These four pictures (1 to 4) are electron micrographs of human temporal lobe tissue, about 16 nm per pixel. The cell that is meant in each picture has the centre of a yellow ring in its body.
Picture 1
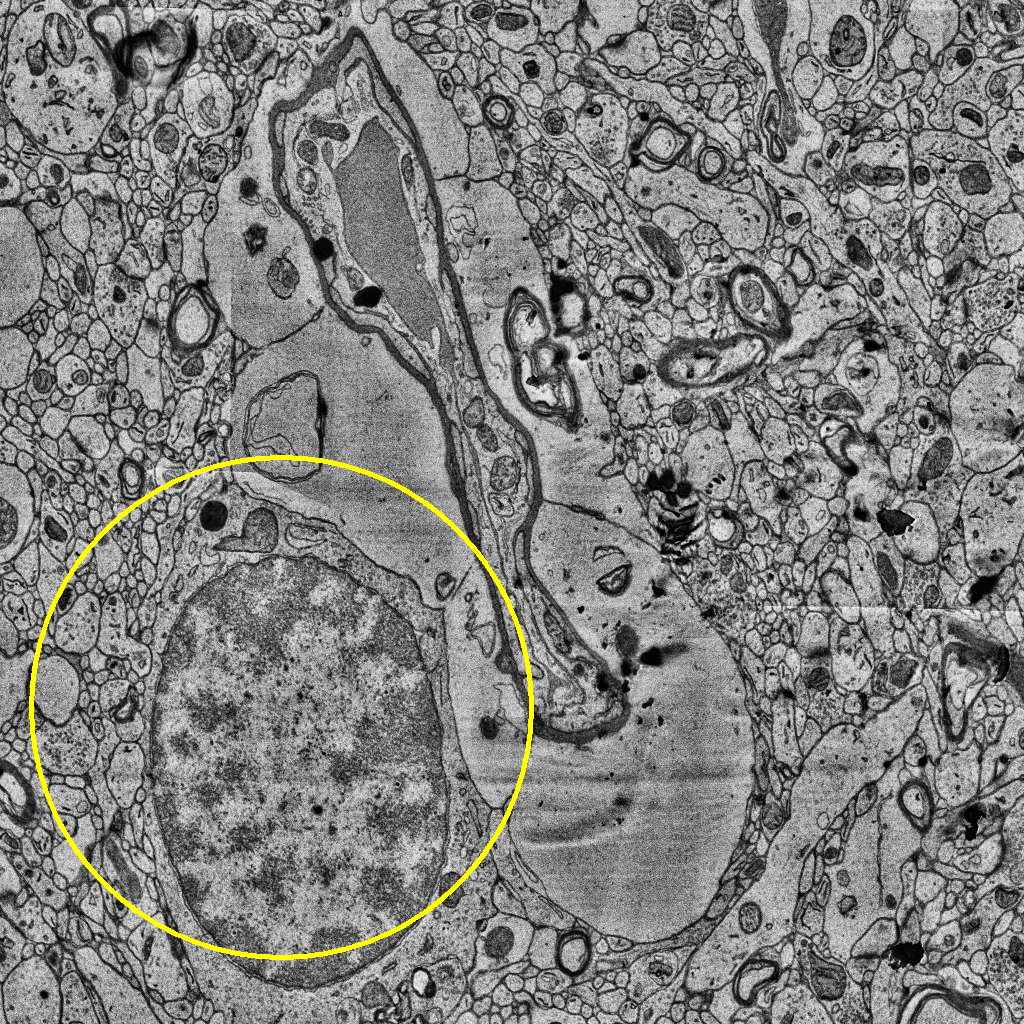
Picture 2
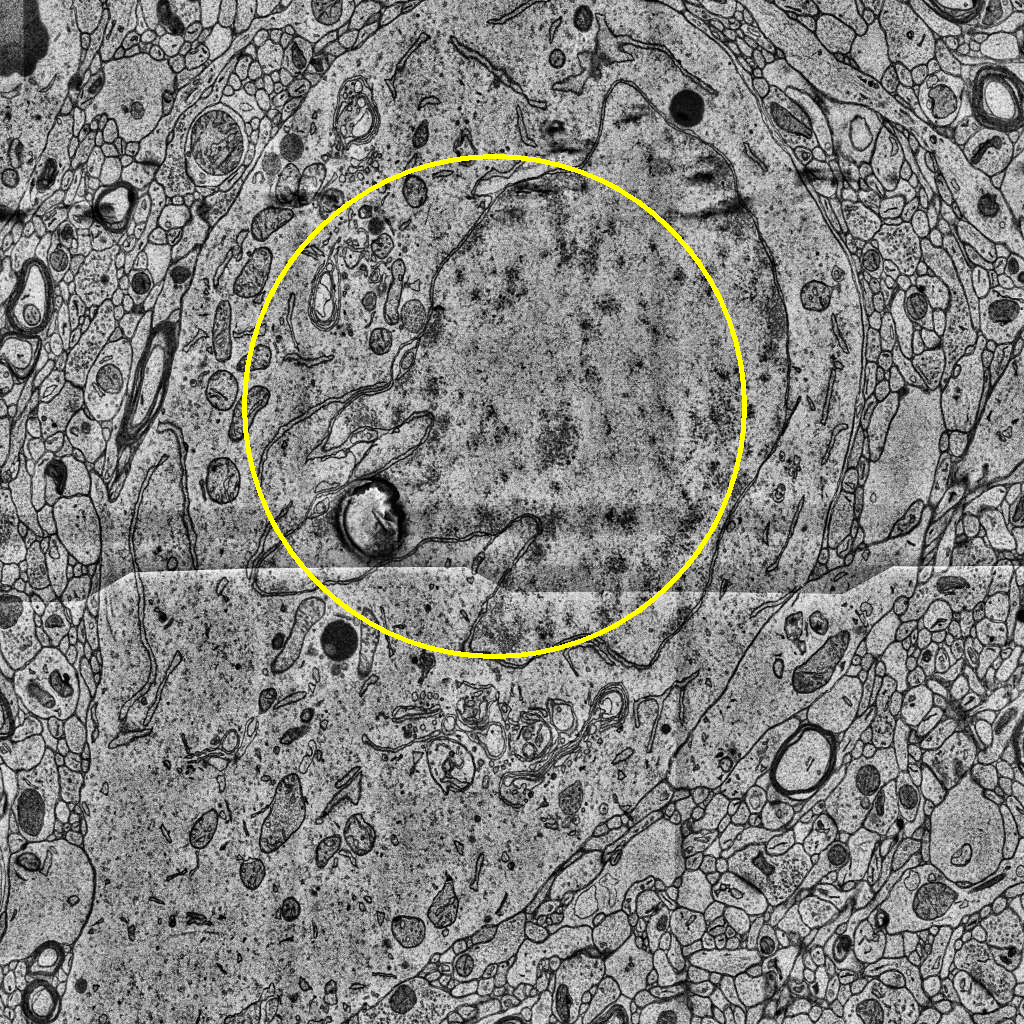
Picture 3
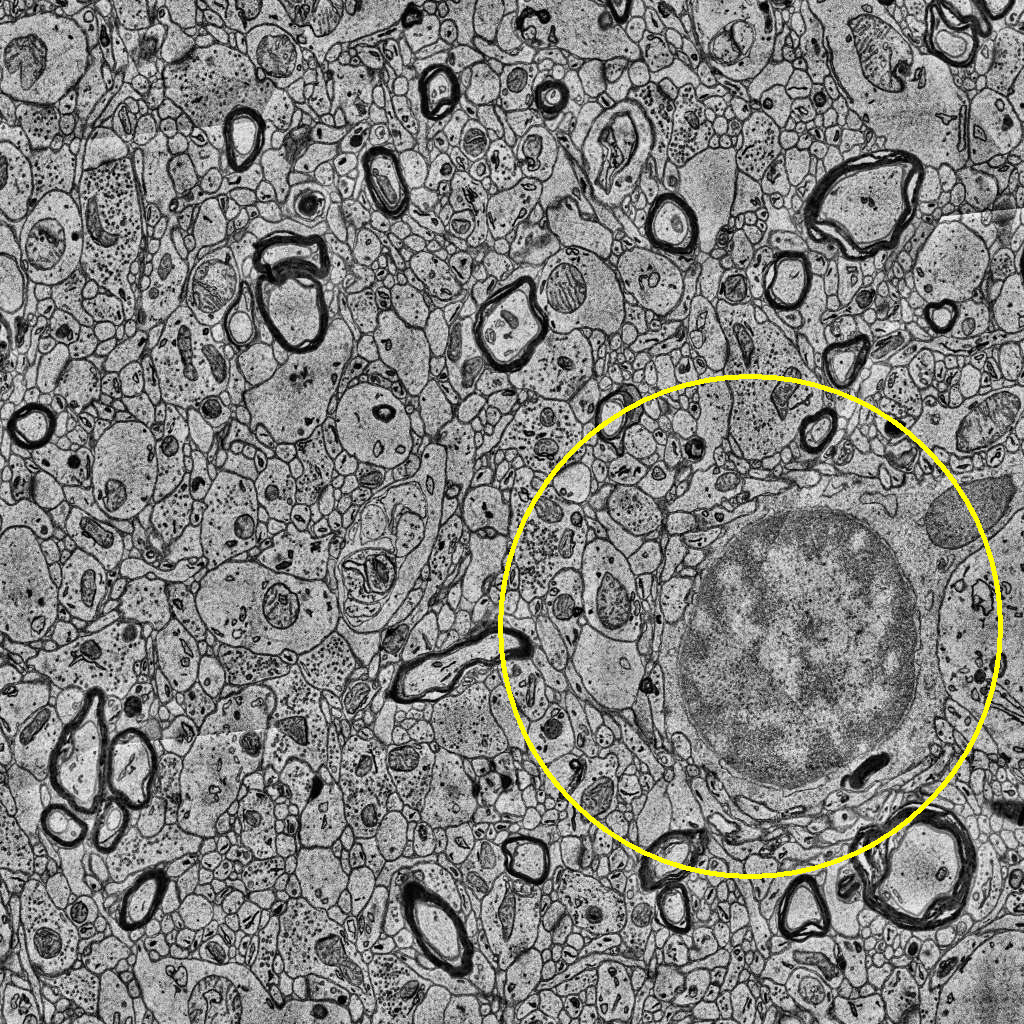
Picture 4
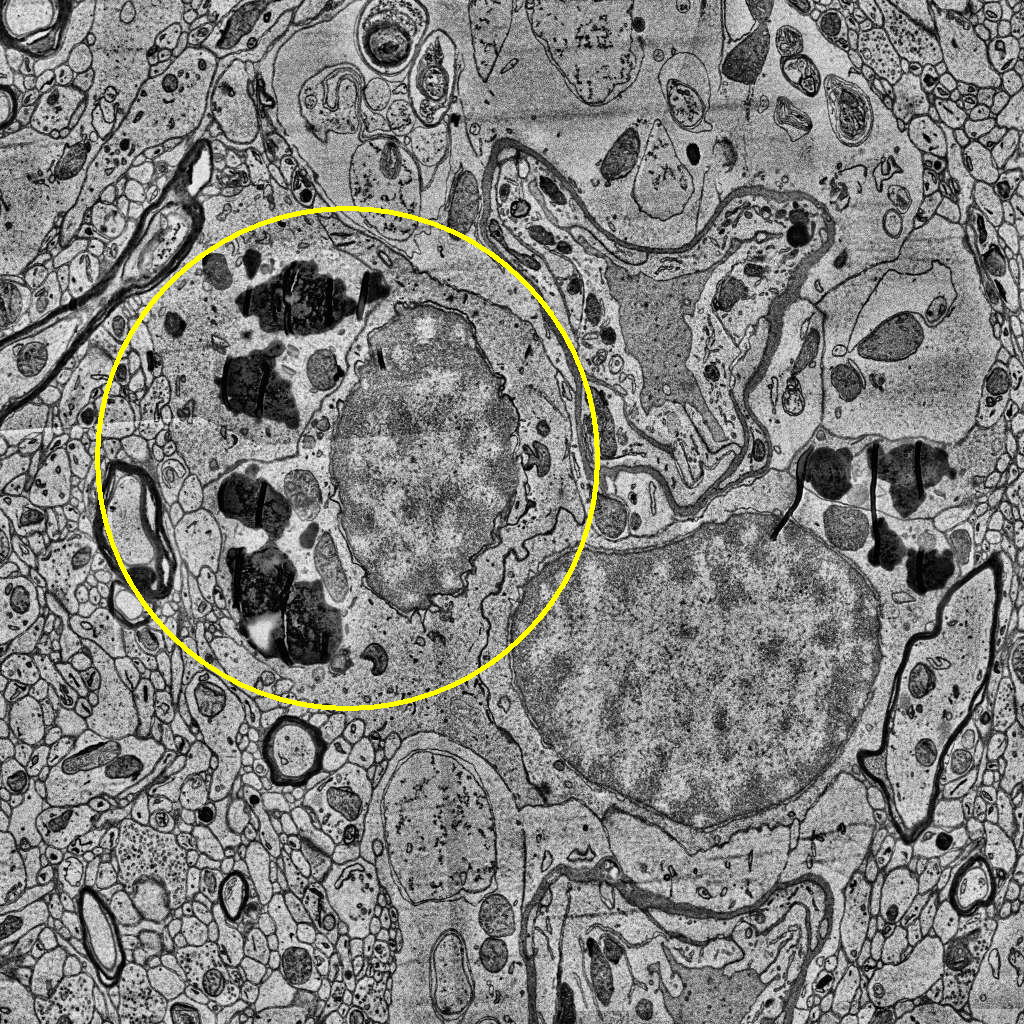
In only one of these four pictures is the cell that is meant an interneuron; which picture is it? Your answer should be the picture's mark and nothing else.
2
